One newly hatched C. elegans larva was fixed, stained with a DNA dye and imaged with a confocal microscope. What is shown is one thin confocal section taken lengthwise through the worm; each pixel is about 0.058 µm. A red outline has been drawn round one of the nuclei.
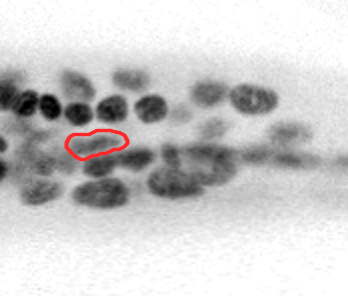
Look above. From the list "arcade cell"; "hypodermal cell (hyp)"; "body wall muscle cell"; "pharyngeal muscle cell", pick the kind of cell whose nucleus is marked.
pharyngeal muscle cell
